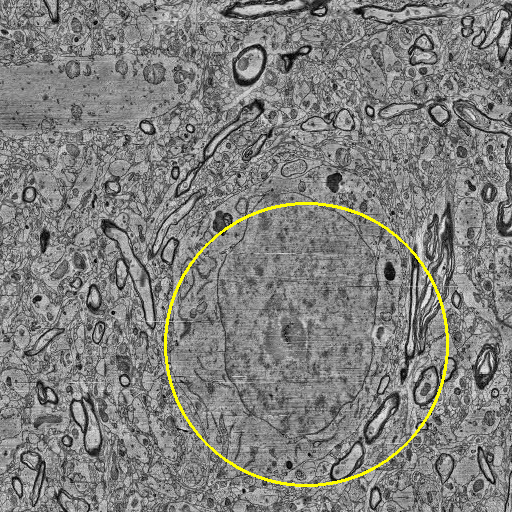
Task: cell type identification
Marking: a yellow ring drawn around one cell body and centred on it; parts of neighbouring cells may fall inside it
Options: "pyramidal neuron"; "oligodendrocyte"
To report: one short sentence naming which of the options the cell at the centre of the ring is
The cell at the centre of the ring is a pyramidal neuron.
